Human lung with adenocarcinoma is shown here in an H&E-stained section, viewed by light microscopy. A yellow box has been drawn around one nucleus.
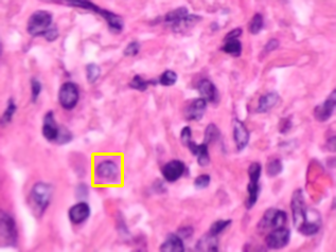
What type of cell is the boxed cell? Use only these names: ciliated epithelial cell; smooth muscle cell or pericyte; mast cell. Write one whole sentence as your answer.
Speaking plainly, the boxed cell is nothing other than a mast cell.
